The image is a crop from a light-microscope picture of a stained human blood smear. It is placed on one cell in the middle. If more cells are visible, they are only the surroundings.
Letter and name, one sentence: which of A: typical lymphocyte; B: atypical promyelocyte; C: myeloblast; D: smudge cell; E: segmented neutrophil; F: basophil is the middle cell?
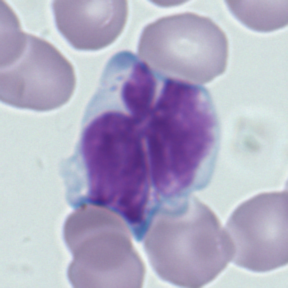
Well, the cell in the middle is a myeloblast, making option C right.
